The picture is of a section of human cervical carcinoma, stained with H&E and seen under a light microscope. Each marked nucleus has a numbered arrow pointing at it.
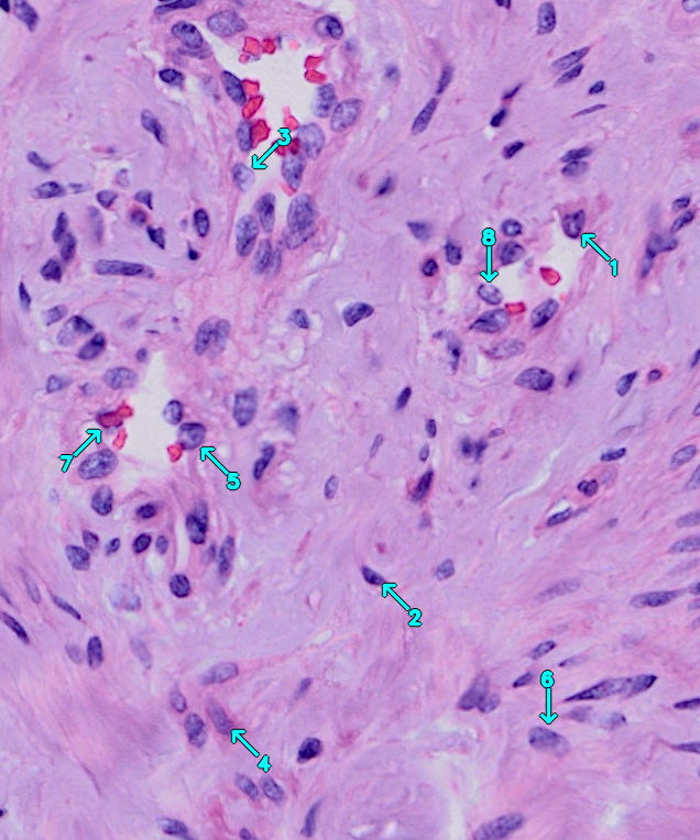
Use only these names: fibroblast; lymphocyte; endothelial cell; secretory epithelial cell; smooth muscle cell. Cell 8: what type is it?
endothelial cell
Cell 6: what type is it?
fibroblast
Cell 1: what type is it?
endothelial cell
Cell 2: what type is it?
fibroblast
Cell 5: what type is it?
endothelial cell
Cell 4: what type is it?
smooth muscle cell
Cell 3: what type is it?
endothelial cell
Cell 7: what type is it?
endothelial cell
